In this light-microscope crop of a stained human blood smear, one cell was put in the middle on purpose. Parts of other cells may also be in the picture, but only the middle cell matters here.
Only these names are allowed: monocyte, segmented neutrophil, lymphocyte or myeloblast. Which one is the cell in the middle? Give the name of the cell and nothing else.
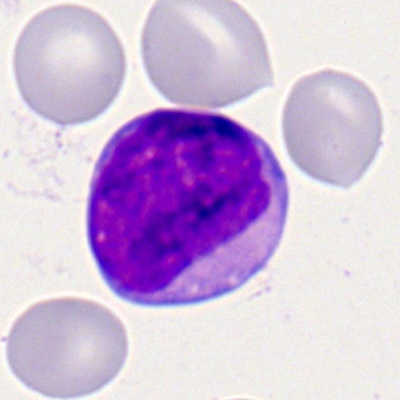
myeloblast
